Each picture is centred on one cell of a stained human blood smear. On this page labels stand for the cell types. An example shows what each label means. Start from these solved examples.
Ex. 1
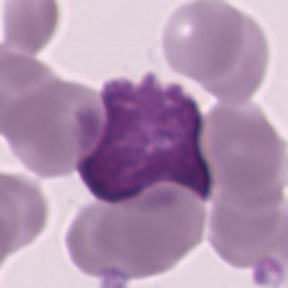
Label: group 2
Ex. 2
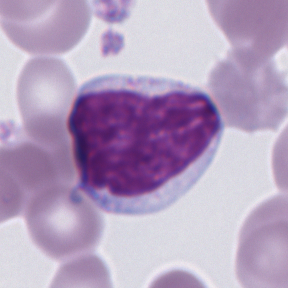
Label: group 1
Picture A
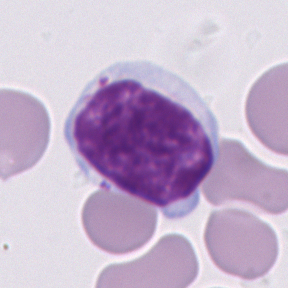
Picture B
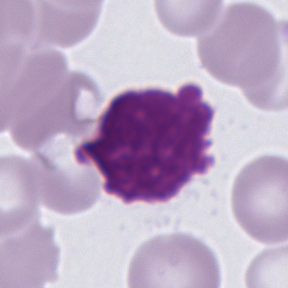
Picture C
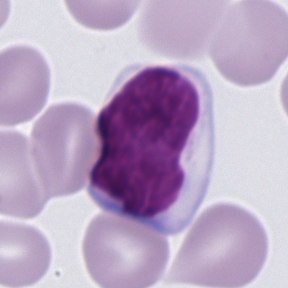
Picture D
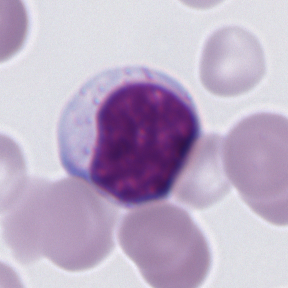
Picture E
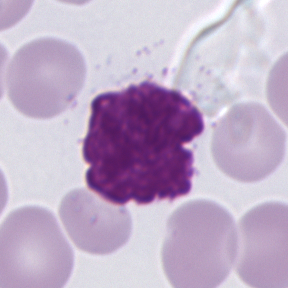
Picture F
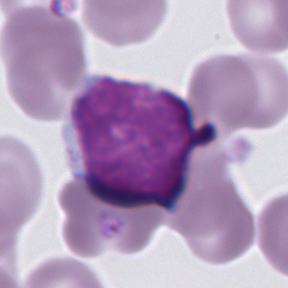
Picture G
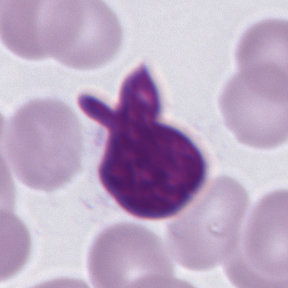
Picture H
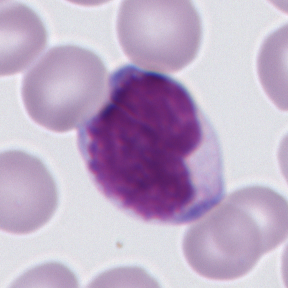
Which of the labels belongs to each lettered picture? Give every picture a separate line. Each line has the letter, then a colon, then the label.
A: group 1
B: group 2
C: group 1
D: group 1
E: group 2
F: group 1
G: group 2
H: group 1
